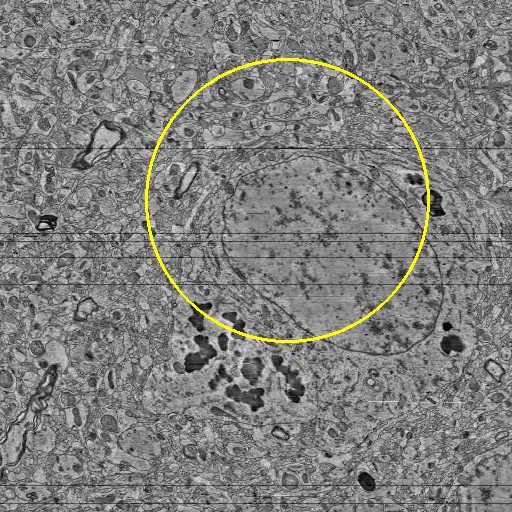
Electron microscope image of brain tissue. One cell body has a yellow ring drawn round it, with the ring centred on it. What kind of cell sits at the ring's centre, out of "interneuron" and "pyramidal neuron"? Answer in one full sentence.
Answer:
It is a pyramidal neuron whose cell body sits at the centre of the yellow ring.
